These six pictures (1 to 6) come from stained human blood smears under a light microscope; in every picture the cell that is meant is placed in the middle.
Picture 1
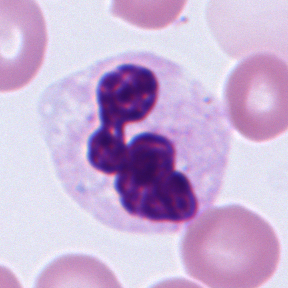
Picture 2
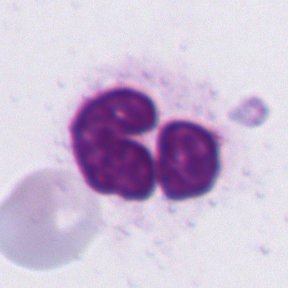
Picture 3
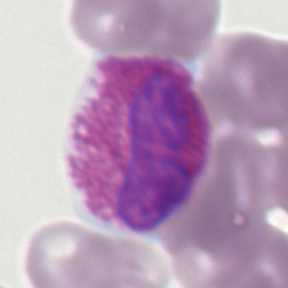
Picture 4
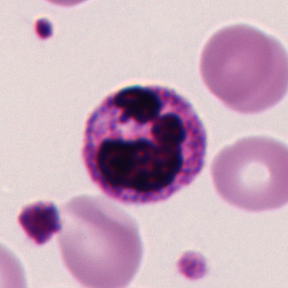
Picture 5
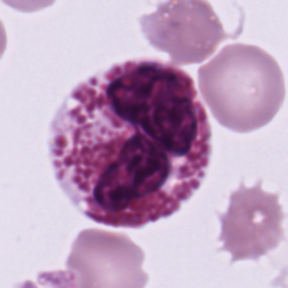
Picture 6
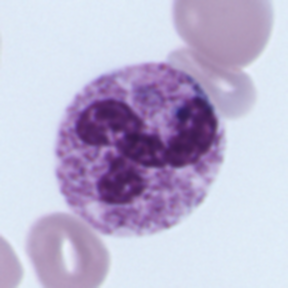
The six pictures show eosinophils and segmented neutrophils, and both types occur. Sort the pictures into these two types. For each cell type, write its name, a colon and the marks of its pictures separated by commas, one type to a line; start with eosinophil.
eosinophil: 3, 5
segmented neutrophil: 1, 2, 4, 6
